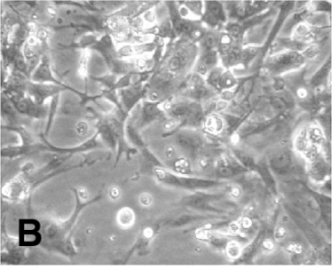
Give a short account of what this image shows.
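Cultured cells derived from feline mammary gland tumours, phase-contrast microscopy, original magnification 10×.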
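Slender spindle cells with long tapering processes run between and across them. Scattered small, round, bright refractile cells sit on the layer. Cell size and shape vary considerably across the field.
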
